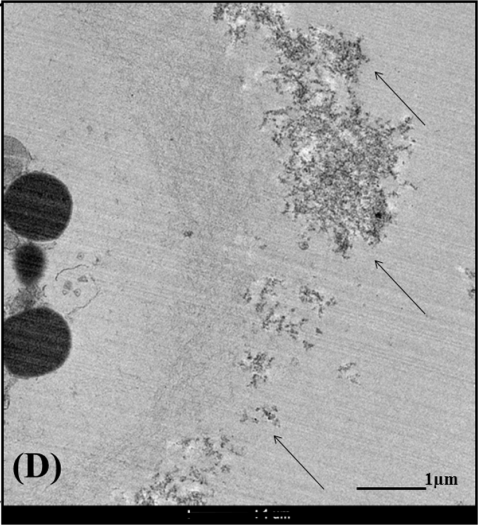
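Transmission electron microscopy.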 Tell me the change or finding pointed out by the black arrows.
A: flaky accumulation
